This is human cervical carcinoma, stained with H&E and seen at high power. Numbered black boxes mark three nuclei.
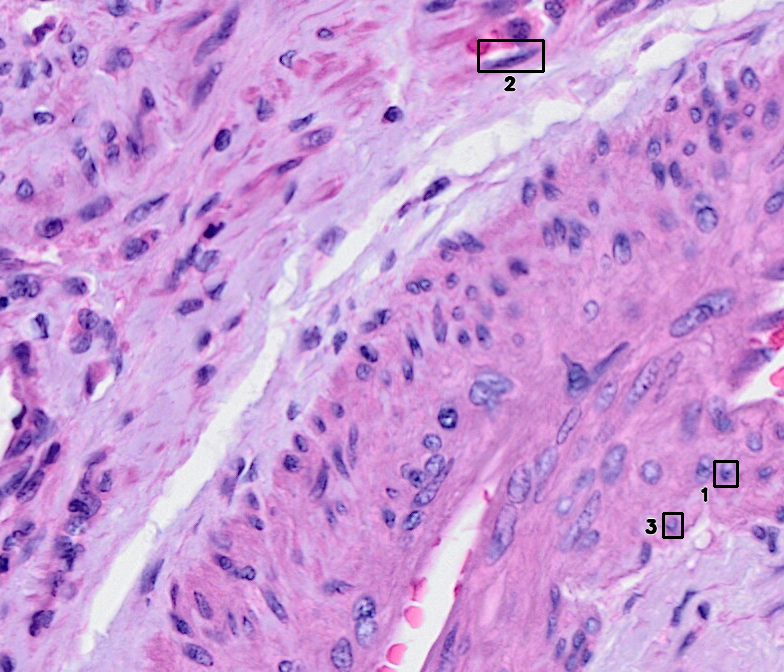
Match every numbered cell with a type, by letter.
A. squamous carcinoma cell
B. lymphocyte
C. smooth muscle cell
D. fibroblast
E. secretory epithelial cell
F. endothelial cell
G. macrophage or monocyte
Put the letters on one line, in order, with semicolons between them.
C; F; C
